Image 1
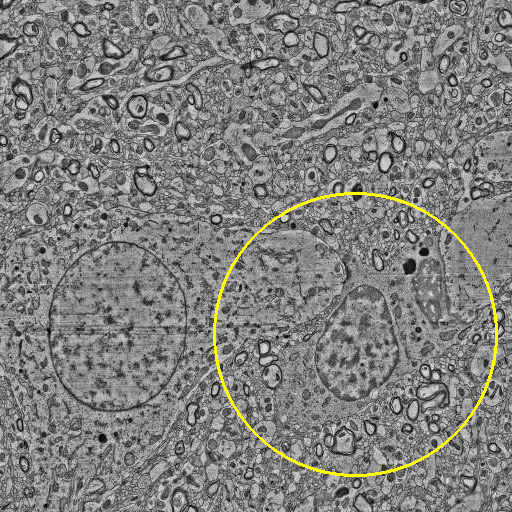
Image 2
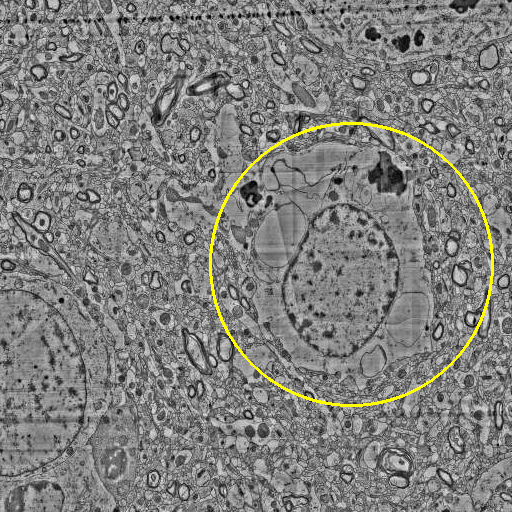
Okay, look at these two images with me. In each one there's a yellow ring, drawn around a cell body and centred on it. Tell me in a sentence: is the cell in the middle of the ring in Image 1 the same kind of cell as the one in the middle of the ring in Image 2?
No, they're two kinds of cell.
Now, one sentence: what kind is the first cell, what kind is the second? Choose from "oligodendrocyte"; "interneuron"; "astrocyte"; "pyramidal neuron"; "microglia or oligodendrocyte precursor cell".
The first picture has an oligodendrocyte at its ring centre, and the second has an astrocyte.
